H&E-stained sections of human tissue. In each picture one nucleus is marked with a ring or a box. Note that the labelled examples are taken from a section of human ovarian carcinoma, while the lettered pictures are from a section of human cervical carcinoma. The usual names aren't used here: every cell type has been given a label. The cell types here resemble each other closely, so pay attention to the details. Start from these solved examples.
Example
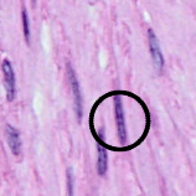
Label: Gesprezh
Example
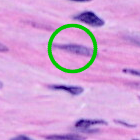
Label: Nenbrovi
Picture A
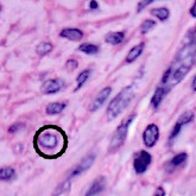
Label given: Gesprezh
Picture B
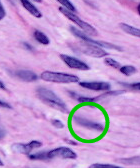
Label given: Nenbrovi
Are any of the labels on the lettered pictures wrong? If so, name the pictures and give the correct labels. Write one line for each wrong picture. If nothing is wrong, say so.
A is labelled Gesprezh; correct label: Nenbrovi
B is labelled Nenbrovi; correct label: Gesprezh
